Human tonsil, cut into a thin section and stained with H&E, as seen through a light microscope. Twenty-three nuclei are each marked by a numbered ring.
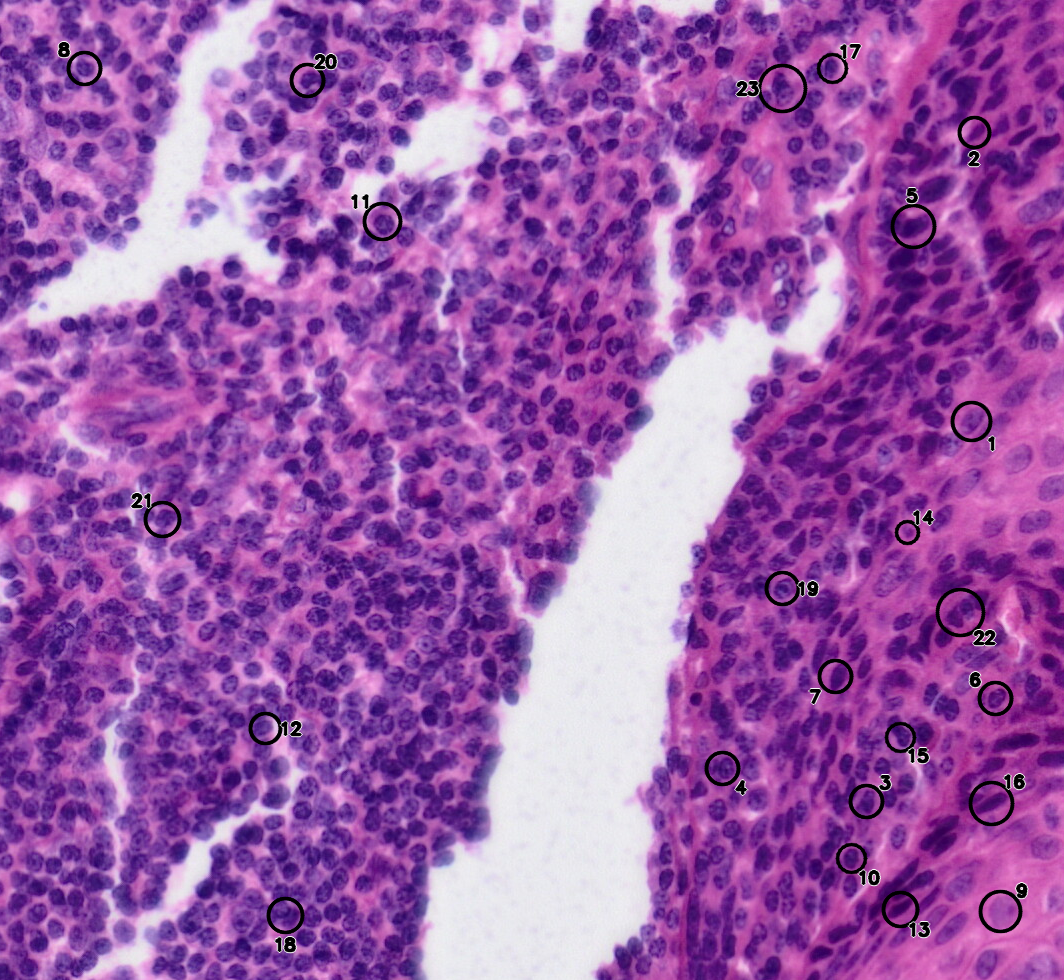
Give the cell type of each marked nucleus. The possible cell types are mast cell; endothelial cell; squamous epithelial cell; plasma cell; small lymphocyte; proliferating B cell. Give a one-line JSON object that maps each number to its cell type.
{"1": "squamous epithelial cell", "2": "squamous epithelial cell", "3": "plasma cell", "4": "plasma cell", "5": "squamous epithelial cell", "6": "plasma cell", "7": "squamous epithelial cell", "8": "small lymphocyte", "9": "squamous epithelial cell", "10": "plasma cell", "11": "plasma cell", "12": "small lymphocyte", "13": "squamous epithelial cell", "14": "squamous epithelial cell", "15": "plasma cell", "16": "squamous epithelial cell", "17": "plasma cell", "18": "small lymphocyte", "19": "plasma cell", "20": "small lymphocyte", "21": "small lymphocyte", "22": "squamous epithelial cell", "23": "plasma cell"}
